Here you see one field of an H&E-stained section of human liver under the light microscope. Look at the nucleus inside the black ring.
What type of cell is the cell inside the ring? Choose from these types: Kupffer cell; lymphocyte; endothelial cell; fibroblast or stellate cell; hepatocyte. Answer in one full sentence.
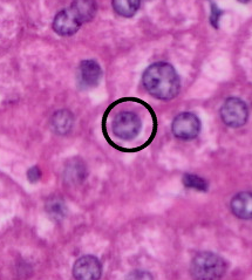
Among the cells in this section, the cell inside the ring is a hepatocyte.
